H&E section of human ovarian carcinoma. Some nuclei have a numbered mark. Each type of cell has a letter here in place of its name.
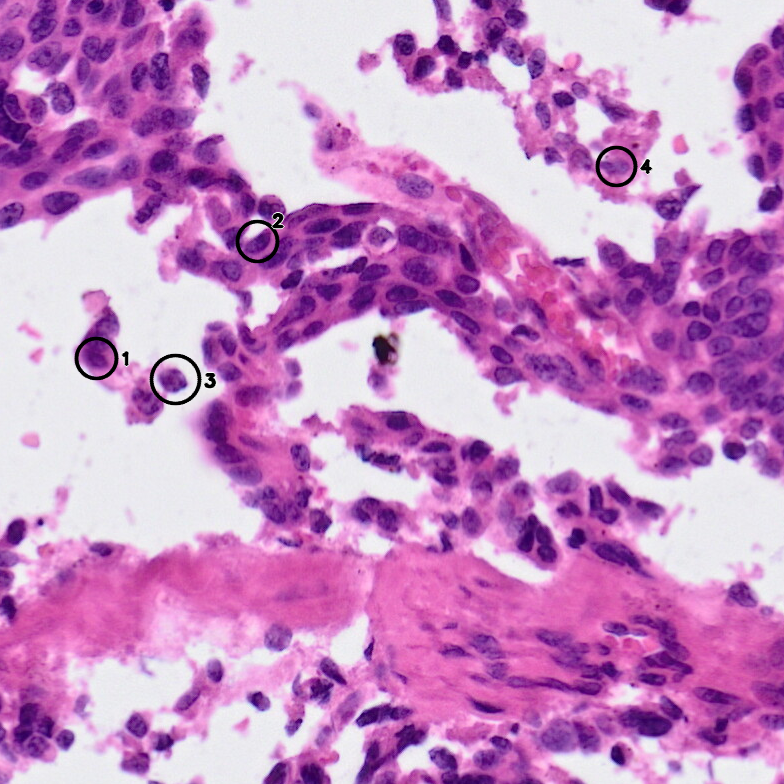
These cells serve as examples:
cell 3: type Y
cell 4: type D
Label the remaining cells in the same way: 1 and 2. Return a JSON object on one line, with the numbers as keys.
{"1": "type Y", "2": "type Y"}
